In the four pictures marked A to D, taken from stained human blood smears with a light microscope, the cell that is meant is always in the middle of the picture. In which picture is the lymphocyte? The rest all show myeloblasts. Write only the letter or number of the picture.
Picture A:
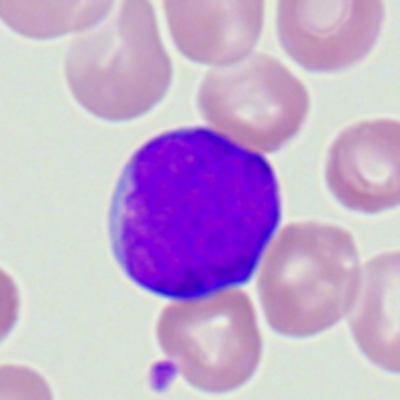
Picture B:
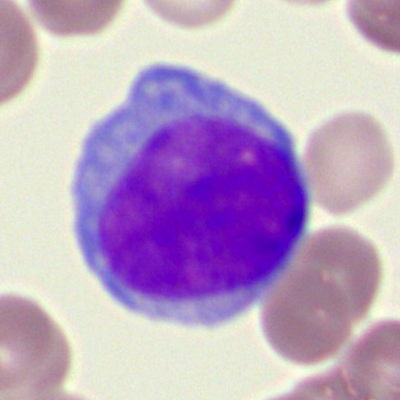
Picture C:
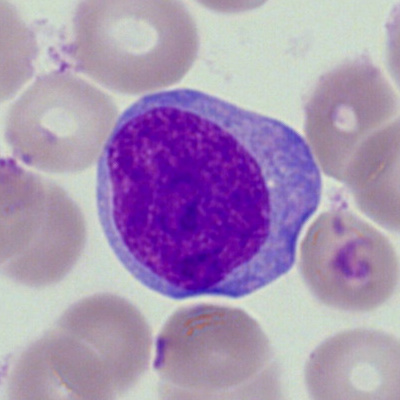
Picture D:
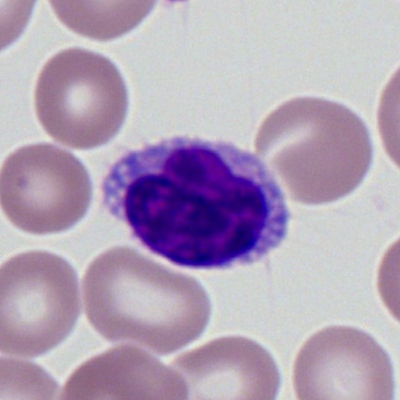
D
